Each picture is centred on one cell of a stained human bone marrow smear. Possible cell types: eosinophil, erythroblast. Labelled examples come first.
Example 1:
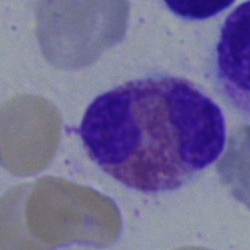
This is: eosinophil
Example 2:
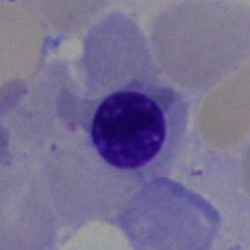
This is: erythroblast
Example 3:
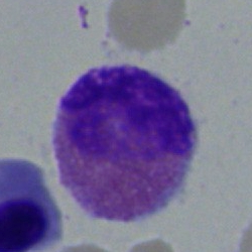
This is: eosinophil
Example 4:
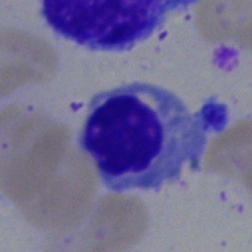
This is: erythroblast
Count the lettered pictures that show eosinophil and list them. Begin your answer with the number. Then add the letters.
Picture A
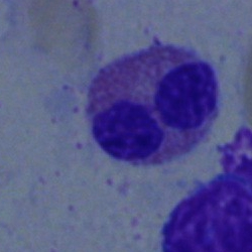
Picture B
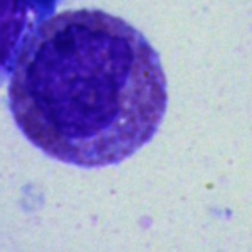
2, namely A, B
